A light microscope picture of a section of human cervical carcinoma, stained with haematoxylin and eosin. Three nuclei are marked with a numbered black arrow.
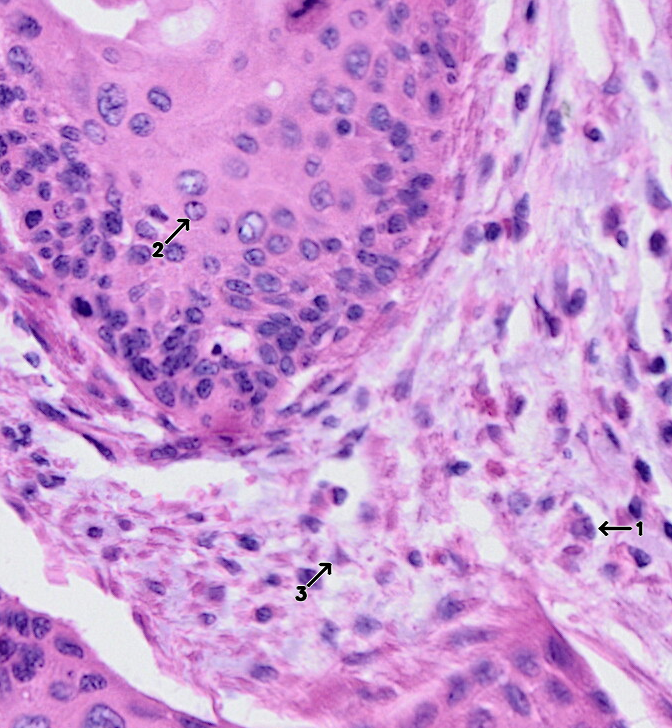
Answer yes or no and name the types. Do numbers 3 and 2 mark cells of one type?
No, cell 3 is a fibroblast, and cell 2, on the other hand, is a squamous carcinoma cell.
